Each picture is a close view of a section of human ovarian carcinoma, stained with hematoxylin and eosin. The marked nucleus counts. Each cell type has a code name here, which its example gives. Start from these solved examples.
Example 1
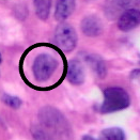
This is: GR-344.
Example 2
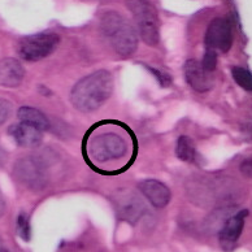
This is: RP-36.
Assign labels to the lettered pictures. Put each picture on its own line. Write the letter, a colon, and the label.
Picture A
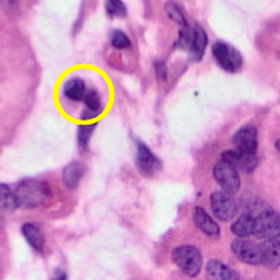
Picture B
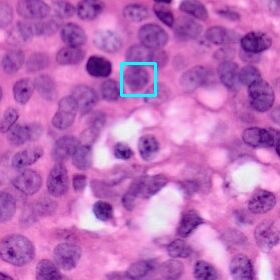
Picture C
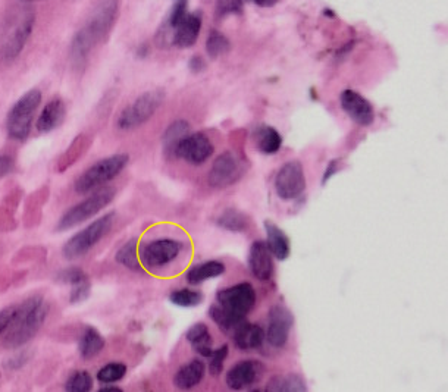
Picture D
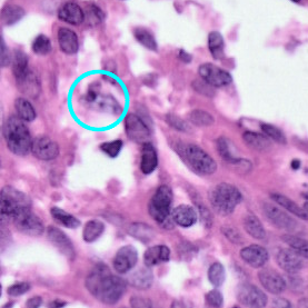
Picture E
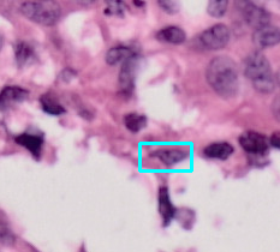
A: GR-344.
B: RP-36.
C: GR-344.
D: GR-344.
E: GR-344.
